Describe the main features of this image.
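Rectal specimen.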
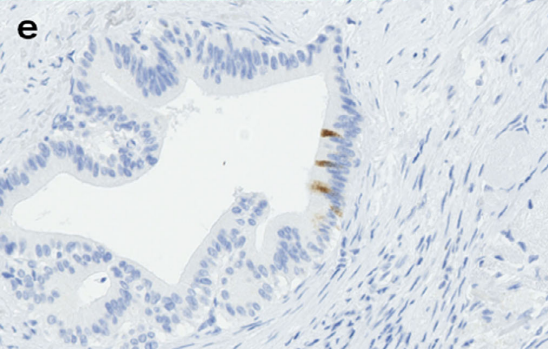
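A tubular gland of adenocarcinoma with a wide, empty lumen is surrounded by spindle-cell stroma. The gland is lined by columnar cells with elongated, crowded, blue-stained nuclei. Most lining cells are unstained, but a small cluster of cells on one side of the lumen shows brown staining in the cytoplasm toward the luminal surface. The stromal spindle cells around the gland remain unstained.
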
